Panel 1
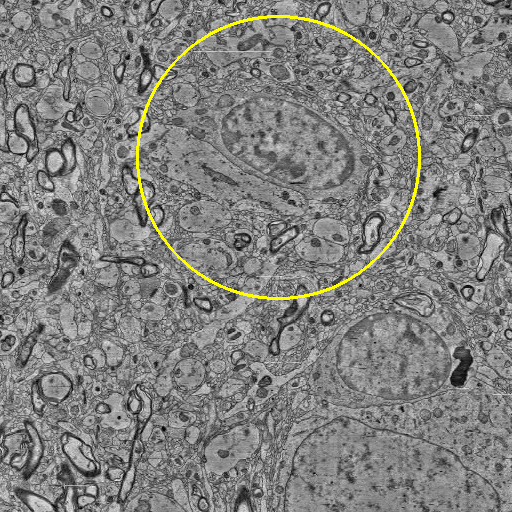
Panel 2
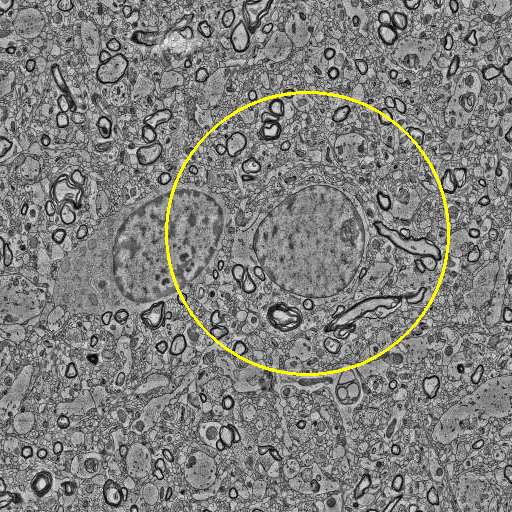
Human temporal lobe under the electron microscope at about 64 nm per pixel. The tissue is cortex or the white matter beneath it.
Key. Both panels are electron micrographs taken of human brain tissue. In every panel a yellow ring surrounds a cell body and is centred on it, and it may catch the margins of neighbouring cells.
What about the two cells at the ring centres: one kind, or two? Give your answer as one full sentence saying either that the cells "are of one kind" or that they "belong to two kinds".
Across Panels 1 and 2, the two cells at the ring centres belong to two kinds.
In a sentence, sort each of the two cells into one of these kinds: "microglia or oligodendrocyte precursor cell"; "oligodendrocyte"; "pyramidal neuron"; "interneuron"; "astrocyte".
The first of the two cells is an oligodendrocyte, and the second is a microglial cell or oligodendrocyte precursor cell.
